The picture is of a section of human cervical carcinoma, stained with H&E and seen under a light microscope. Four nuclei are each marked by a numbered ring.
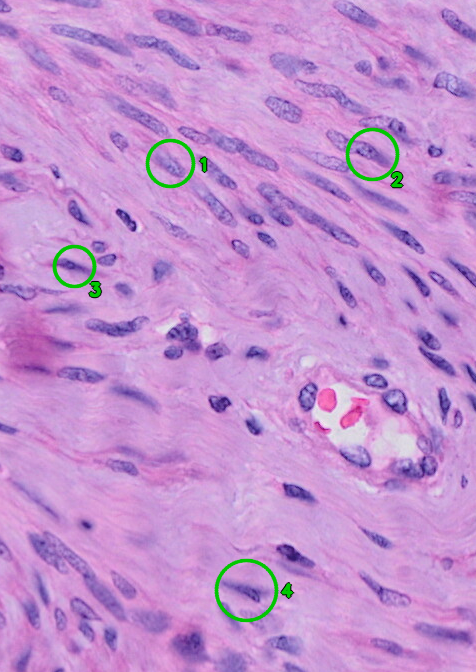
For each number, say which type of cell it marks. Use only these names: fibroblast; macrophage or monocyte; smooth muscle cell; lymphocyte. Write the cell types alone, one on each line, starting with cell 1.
smooth muscle cell
smooth muscle cell
smooth muscle cell
fibroblast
